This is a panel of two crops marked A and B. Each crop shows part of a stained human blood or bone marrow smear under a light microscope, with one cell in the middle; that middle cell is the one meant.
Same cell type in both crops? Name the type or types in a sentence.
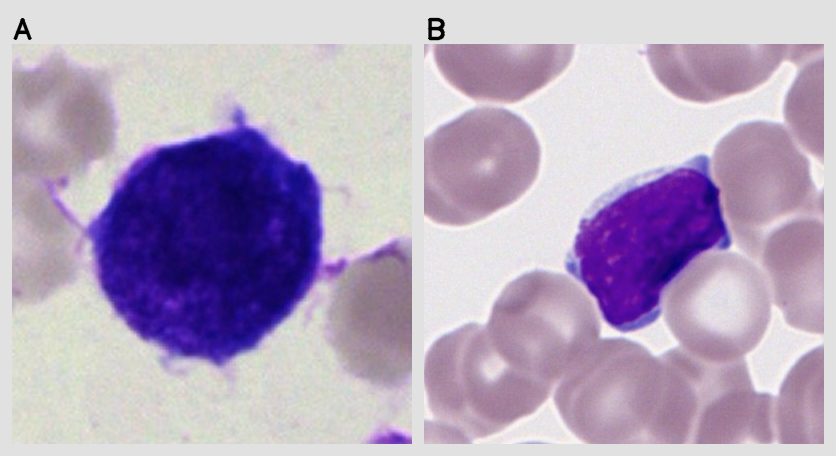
No, in crop A there is a blast, and in crop B there is a lymphocyte.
